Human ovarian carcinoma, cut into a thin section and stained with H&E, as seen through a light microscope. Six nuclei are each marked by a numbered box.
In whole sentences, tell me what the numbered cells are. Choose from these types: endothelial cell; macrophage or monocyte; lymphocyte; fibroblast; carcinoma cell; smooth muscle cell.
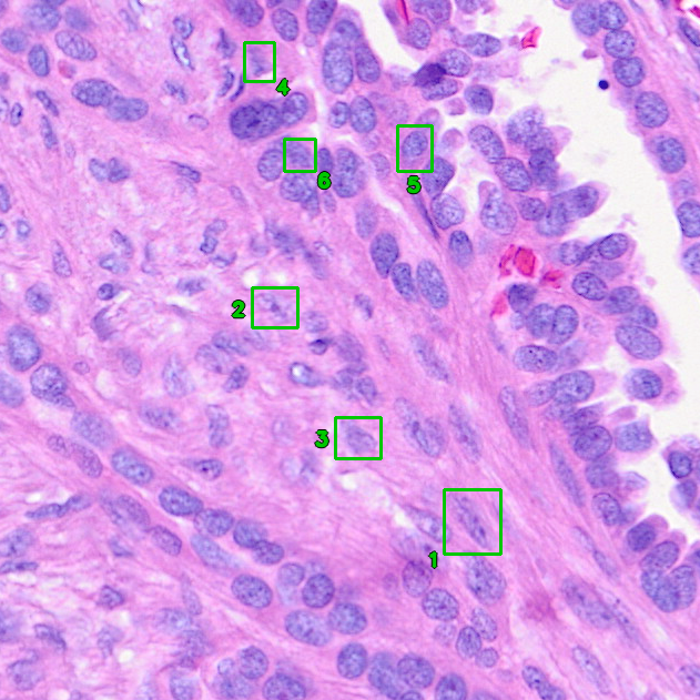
Cells 1, 2, 3 and 4 are fibroblasts. Cells 5 and 6 are carcinoma cells.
